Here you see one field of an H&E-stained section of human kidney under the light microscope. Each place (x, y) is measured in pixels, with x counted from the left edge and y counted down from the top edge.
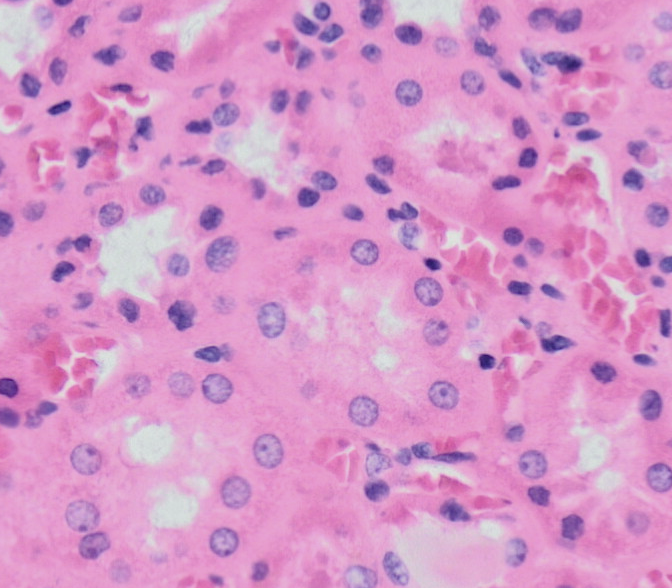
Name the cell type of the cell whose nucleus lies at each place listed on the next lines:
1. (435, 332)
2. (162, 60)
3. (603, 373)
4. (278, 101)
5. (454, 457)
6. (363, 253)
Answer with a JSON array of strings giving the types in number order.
["proximal tubule cell", "proximal tubule cell", "proximal tubule cell", "loop of Henle or distal tubule cell", "endothelial cell", "proximal tubule cell"]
